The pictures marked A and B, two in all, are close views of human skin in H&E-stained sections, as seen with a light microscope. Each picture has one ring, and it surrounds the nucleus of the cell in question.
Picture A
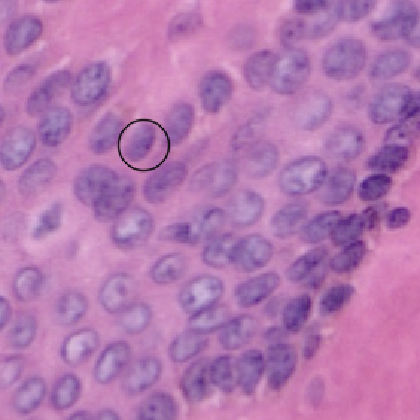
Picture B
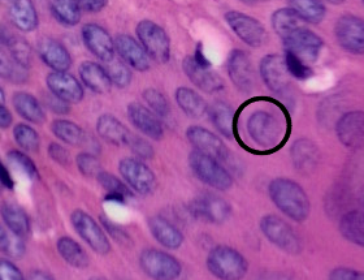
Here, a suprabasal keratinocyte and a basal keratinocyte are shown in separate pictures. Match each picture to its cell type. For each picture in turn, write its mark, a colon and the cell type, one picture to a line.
A: basal keratinocyte
B: suprabasal keratinocyte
